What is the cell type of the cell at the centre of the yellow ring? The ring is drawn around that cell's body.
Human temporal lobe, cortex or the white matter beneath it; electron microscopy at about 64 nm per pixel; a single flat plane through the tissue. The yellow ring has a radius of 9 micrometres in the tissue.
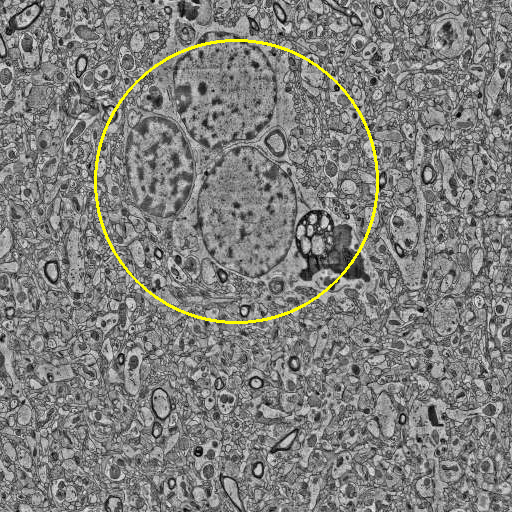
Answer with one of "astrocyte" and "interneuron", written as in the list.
astrocyte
